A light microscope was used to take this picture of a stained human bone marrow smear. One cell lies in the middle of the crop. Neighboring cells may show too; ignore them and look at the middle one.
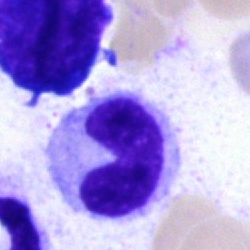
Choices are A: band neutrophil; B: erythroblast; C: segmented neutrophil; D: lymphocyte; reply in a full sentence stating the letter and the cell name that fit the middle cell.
Since the cell in the middle is a band neutrophil, option A is correct.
